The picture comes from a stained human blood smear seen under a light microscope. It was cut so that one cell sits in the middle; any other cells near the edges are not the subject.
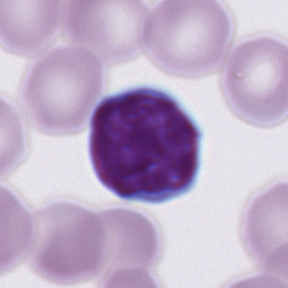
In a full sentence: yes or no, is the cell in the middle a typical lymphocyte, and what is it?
Yes, the identification of the central cell as a typical lymphocyte is correct.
